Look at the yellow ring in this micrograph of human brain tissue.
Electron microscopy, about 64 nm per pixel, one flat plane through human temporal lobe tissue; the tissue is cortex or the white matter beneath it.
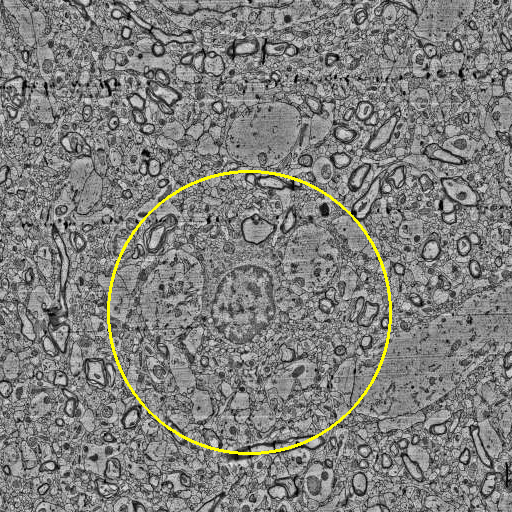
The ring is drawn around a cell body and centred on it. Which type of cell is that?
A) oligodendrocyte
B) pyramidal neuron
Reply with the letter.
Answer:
A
